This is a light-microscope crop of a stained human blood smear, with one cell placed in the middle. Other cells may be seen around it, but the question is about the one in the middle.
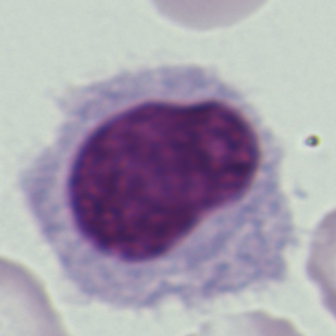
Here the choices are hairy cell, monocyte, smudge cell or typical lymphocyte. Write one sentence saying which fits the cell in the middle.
The cell occupying the middle of the crop is a hairy cell.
